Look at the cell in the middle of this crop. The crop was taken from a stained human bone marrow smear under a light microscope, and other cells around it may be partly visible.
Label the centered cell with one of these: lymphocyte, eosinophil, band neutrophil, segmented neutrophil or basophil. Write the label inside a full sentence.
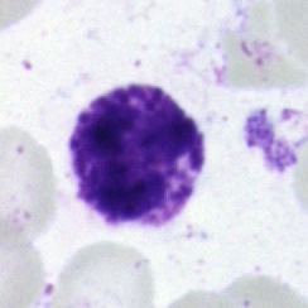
The cell at the middle of the crop is recognized as a basophil.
